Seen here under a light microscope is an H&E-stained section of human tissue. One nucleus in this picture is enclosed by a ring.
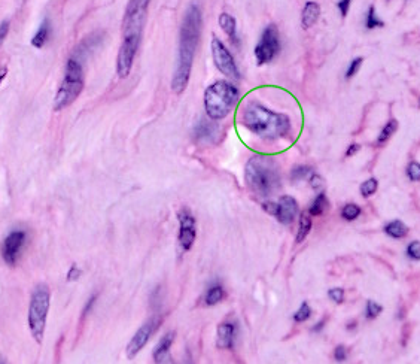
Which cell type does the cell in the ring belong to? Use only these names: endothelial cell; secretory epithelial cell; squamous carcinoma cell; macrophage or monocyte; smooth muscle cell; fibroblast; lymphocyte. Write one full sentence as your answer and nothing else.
The identity of the cell in the ring is that of an endothelial cell.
